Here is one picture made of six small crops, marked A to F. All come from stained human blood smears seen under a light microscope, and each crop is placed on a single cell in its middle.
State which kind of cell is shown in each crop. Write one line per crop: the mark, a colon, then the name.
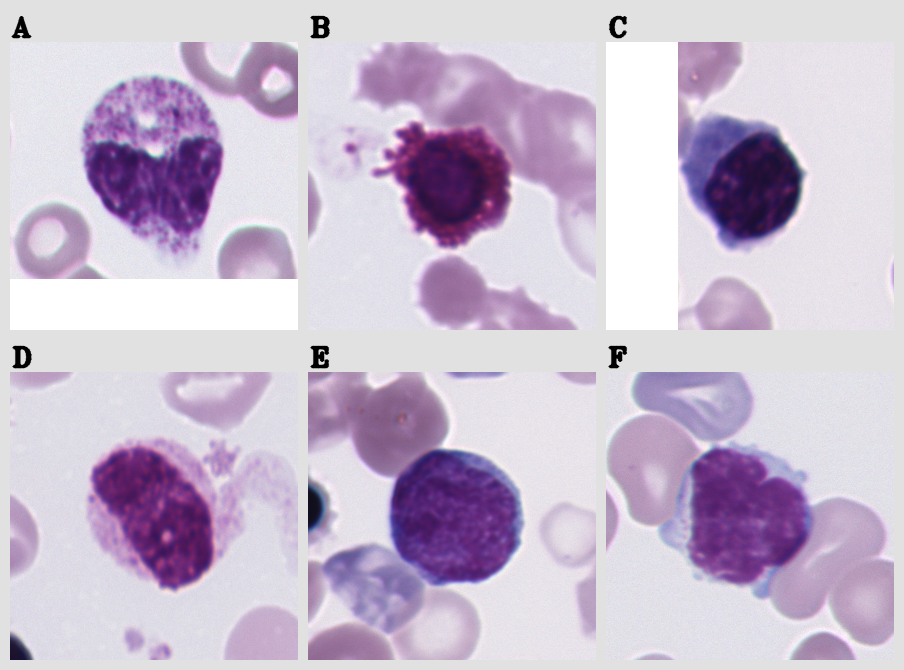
A: band neutrophil
B: eosinophil
C: normoblast
D: band neutrophil
E: myeloblast
F: typical lymphocyte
